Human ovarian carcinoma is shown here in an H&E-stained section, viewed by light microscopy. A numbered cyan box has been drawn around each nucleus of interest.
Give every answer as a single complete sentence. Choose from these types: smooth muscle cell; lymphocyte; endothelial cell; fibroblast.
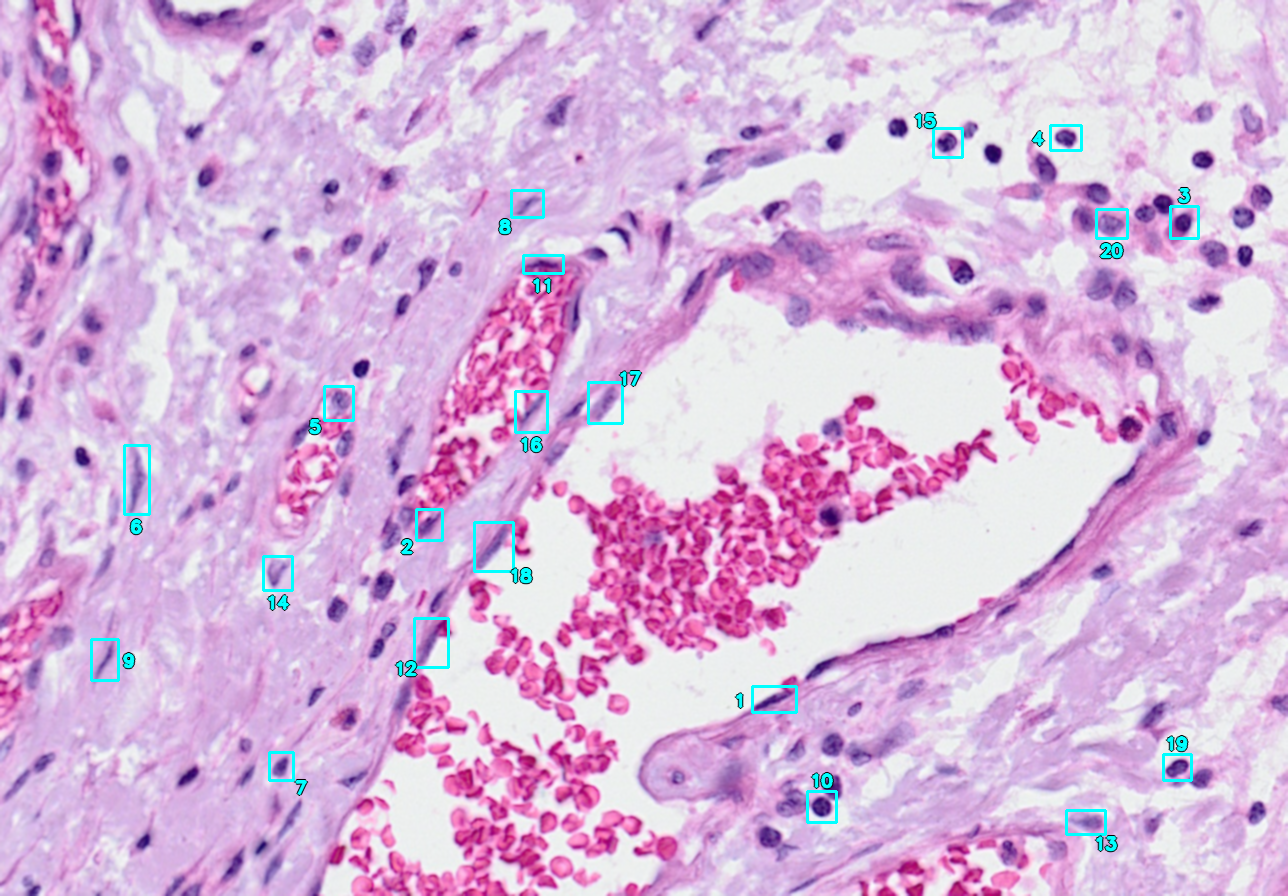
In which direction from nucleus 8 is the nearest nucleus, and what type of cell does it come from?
The nearest one is an endothelial cell, found below nucleus 8.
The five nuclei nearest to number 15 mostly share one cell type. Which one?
Most of the five nuclei nearest to number 15 are those of lymphocytes.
